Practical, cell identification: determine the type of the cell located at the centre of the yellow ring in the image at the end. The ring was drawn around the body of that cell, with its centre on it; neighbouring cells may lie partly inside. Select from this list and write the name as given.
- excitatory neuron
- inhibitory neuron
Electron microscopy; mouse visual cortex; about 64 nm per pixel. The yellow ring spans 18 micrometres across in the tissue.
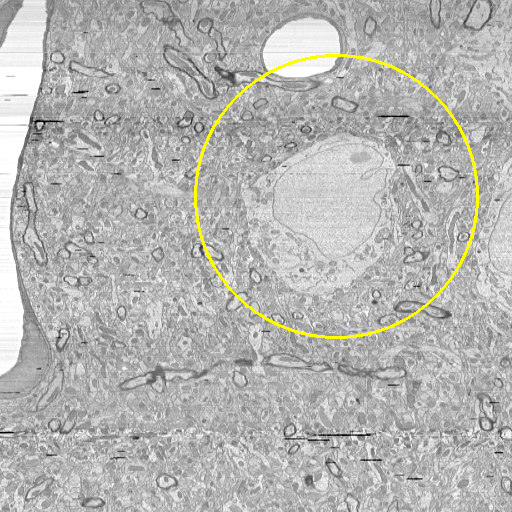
excitatory neuron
